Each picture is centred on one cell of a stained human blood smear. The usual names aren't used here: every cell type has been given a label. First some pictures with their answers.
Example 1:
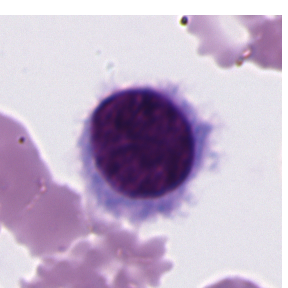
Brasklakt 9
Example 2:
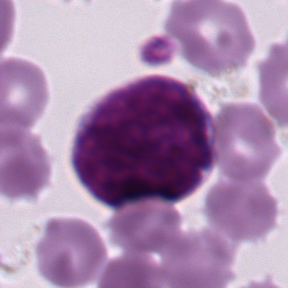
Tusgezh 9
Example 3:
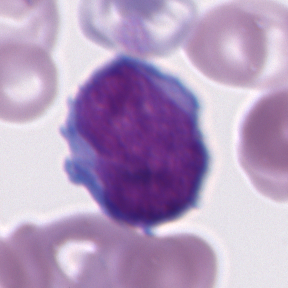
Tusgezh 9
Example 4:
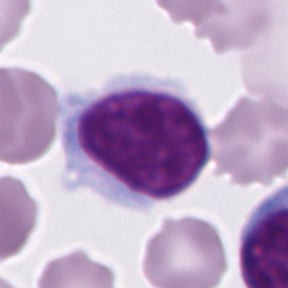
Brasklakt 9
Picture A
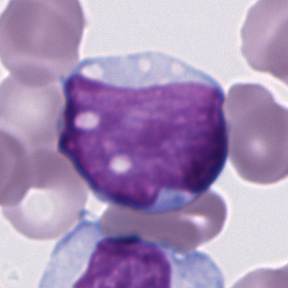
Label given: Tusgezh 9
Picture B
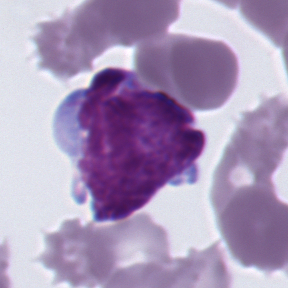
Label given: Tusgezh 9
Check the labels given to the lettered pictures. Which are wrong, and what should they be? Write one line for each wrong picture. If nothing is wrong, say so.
All labels are correct.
